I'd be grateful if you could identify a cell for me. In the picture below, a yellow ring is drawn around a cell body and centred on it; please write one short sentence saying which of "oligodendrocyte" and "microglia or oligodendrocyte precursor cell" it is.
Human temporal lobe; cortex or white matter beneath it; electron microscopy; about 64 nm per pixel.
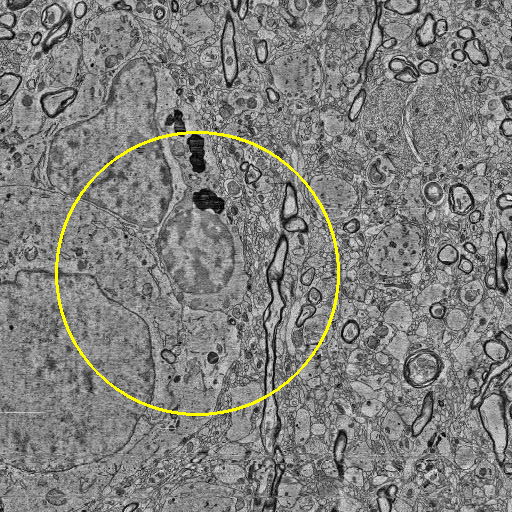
The cell under the ring's centre is an oligodendrocyte.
